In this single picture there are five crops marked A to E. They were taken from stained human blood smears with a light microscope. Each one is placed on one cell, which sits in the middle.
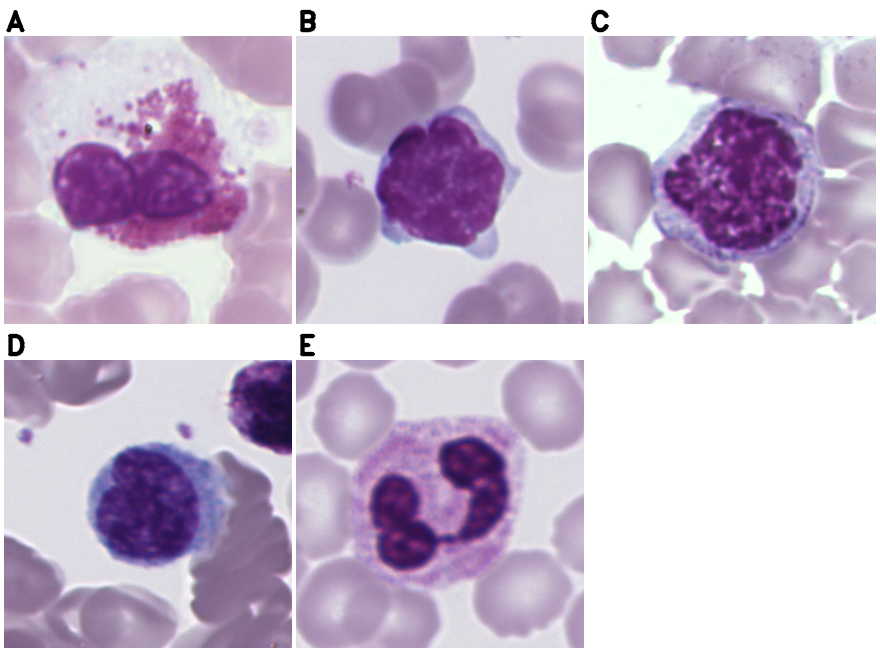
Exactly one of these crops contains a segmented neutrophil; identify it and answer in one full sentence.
Crop E is the crop that shows a segmented neutrophil in its middle.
